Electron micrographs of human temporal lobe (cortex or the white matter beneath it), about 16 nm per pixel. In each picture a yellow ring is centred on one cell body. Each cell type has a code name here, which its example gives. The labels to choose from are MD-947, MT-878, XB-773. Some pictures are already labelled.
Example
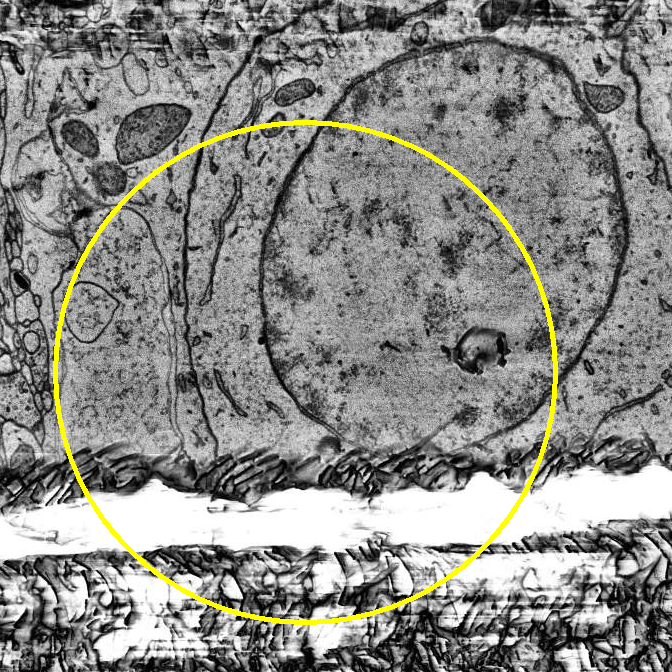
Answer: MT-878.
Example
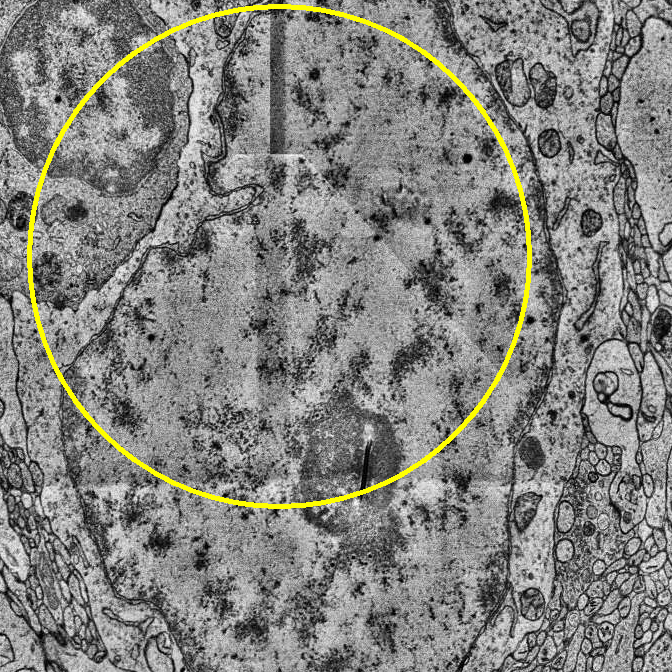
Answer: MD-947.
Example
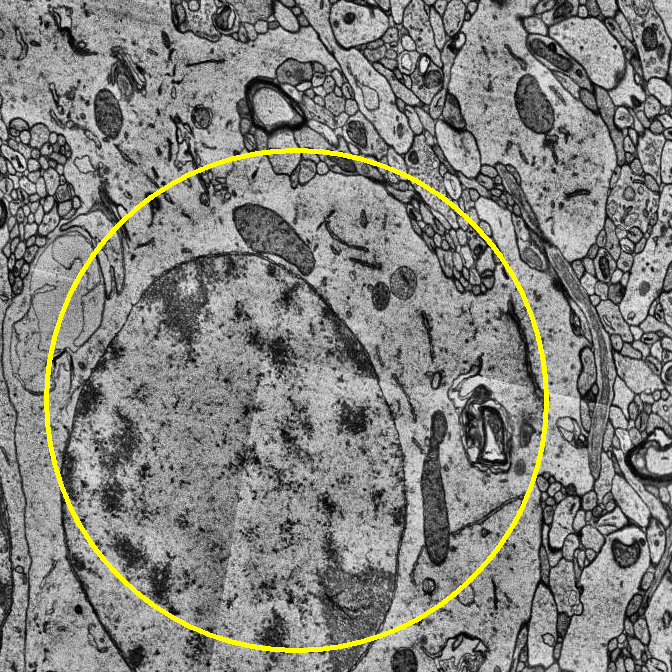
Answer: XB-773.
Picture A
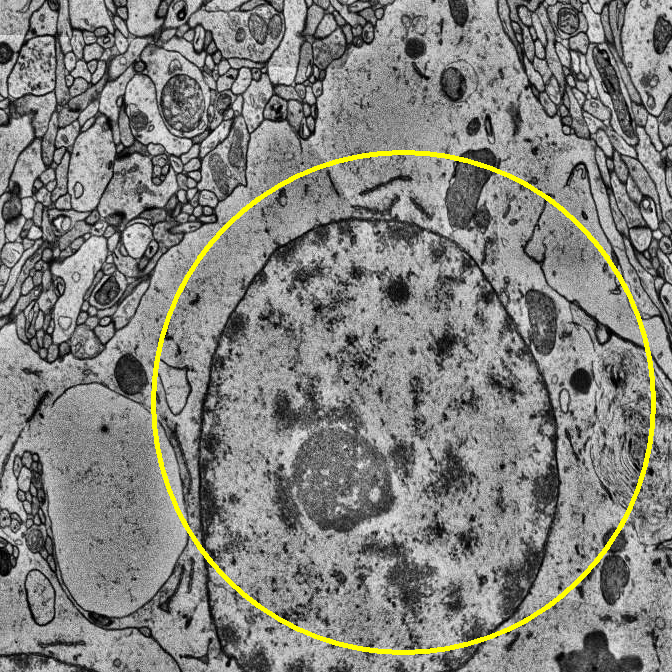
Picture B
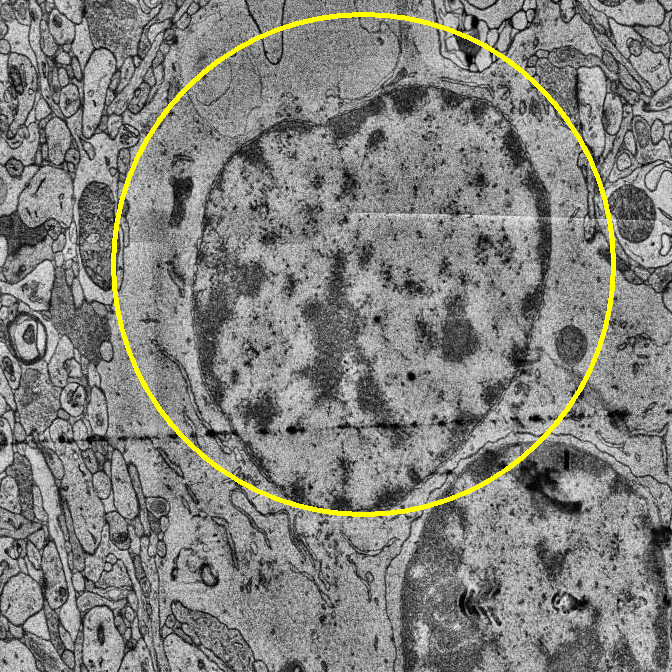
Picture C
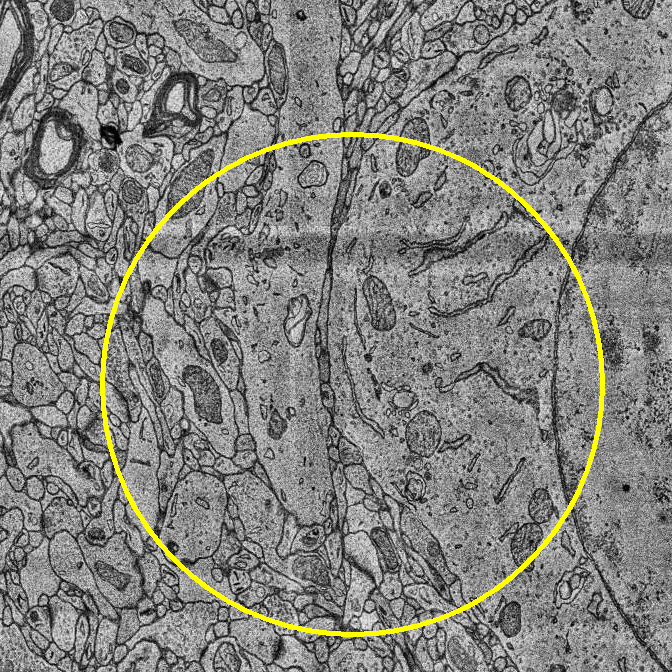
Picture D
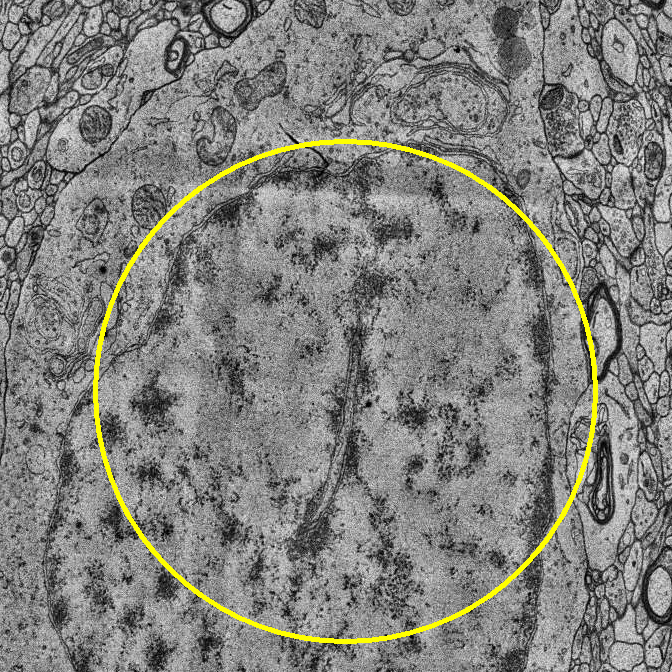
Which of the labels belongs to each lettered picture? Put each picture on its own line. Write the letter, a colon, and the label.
A: XB-773.
B: XB-773.
C: MT-878.
D: MD-947.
